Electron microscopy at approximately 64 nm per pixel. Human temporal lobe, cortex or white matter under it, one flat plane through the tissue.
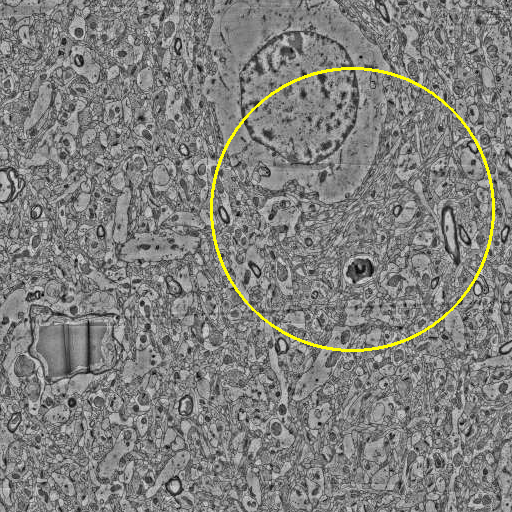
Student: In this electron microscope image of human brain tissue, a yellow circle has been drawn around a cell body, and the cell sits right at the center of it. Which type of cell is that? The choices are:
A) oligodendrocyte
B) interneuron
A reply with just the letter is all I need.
A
